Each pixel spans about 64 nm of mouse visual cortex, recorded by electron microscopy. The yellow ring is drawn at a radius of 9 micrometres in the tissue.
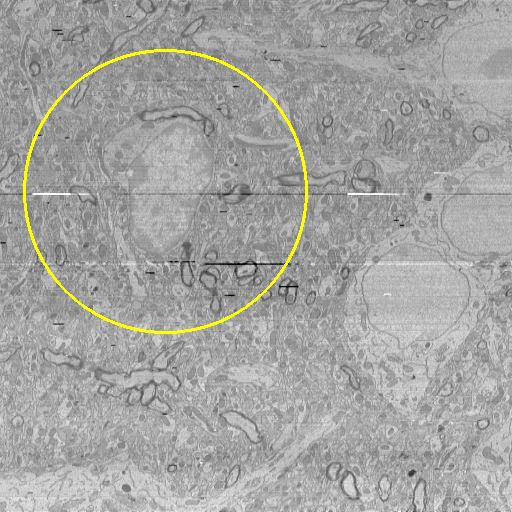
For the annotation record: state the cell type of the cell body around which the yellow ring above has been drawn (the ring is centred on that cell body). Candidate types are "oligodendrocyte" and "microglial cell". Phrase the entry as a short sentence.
The ringed cell is an oligodendrocyte.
